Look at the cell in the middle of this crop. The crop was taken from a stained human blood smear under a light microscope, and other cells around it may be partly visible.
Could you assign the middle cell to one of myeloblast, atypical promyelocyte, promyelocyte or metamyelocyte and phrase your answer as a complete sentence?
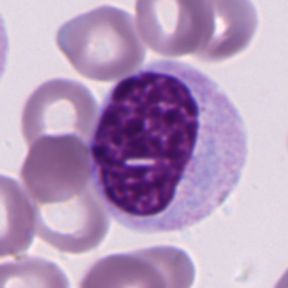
Whatever else lies nearby, the middle cell is a metamyelocyte.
